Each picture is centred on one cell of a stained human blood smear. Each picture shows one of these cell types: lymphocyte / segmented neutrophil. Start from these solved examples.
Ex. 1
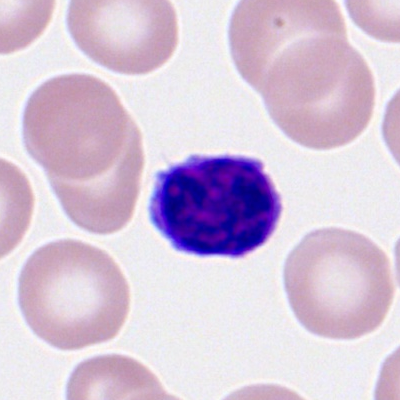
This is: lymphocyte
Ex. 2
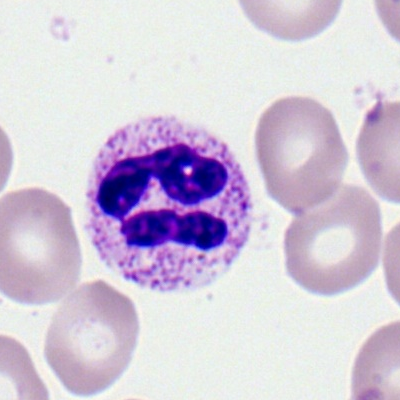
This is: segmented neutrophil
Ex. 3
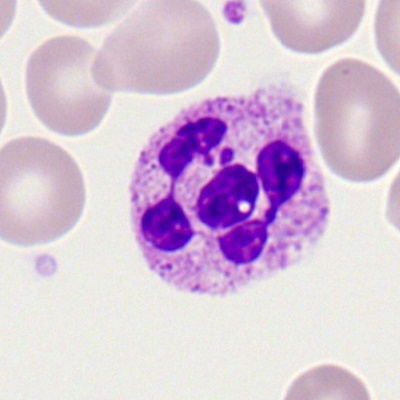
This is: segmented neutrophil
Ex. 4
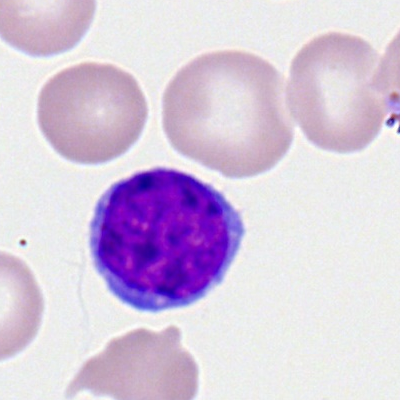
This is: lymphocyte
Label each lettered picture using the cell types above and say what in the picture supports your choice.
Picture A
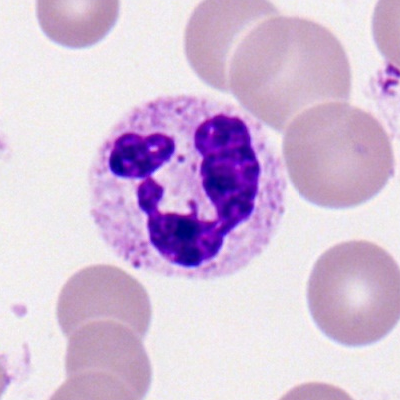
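segmented neutrophil. Evidence: The cytoplasm is plentiful and pale pinkish-lilac.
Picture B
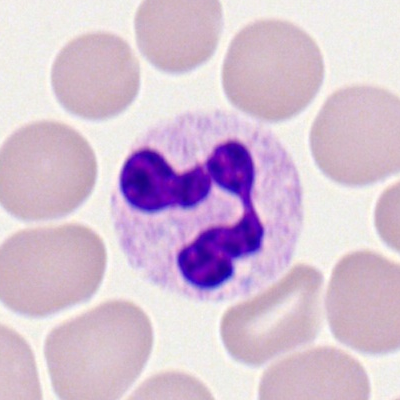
segmented neutrophil. Evidence: The cytoplasm is plentiful and pale pinkish-lilac.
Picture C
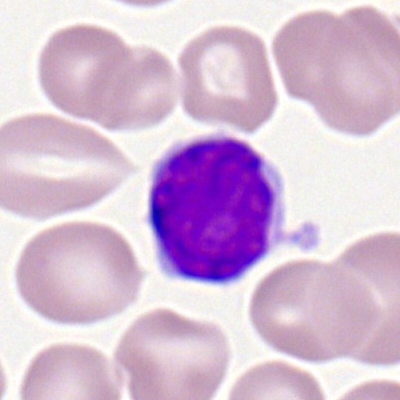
lymphocyte. Evidence: The cytoplasm is a very thin pale blue rim around the nucleus.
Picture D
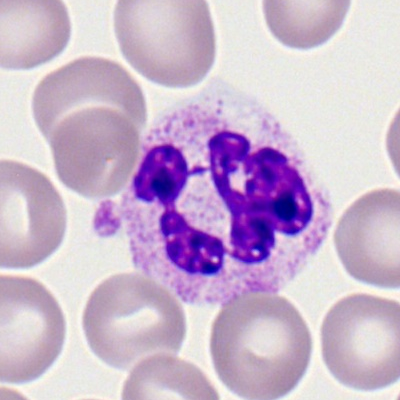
segmented neutrophil. Evidence: The cytoplasm is plentiful and pale pinkish-lilac.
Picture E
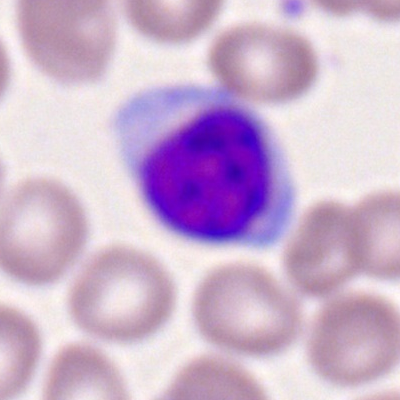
lymphocyte. Evidence: The nucleus fills most of the cell, leaving a modest amount of cytoplasm.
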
